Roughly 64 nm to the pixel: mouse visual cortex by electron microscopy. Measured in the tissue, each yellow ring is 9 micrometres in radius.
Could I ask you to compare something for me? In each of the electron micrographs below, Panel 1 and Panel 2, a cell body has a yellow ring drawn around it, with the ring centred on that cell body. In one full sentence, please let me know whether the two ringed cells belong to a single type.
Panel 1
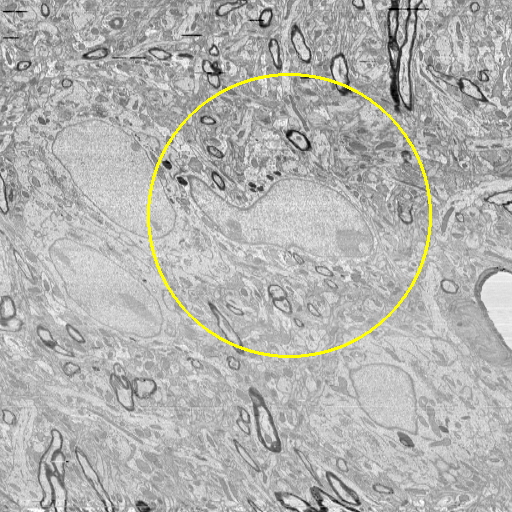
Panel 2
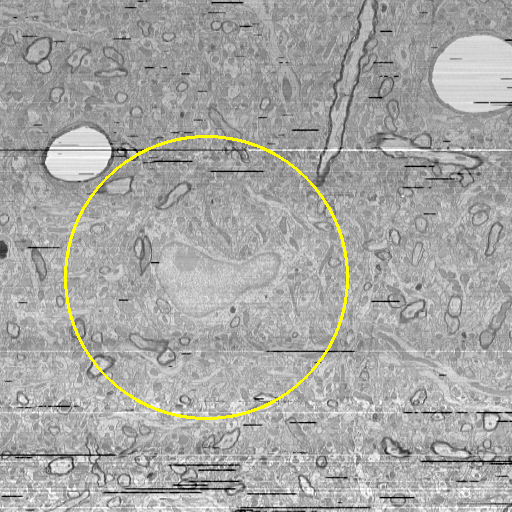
Yes, the two cells at the centres of the rings are of one type.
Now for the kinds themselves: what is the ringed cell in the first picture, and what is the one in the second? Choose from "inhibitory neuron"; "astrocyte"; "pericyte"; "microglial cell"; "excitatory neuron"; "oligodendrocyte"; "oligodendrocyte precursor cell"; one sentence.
Each of the two cells is an astrocyte.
